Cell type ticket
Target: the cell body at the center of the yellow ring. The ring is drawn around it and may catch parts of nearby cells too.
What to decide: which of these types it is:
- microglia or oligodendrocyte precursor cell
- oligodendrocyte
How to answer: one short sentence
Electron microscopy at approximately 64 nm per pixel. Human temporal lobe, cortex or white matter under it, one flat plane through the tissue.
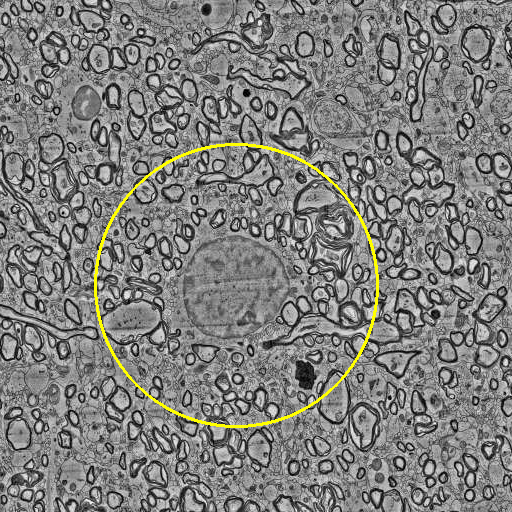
The cell at the center of the ring is an oligodendrocyte.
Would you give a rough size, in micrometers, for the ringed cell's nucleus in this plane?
Roughly 7 micrometers across in this plane.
